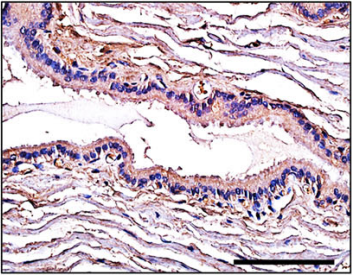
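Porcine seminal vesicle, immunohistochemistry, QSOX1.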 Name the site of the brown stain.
Epithelium and interstitial area.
